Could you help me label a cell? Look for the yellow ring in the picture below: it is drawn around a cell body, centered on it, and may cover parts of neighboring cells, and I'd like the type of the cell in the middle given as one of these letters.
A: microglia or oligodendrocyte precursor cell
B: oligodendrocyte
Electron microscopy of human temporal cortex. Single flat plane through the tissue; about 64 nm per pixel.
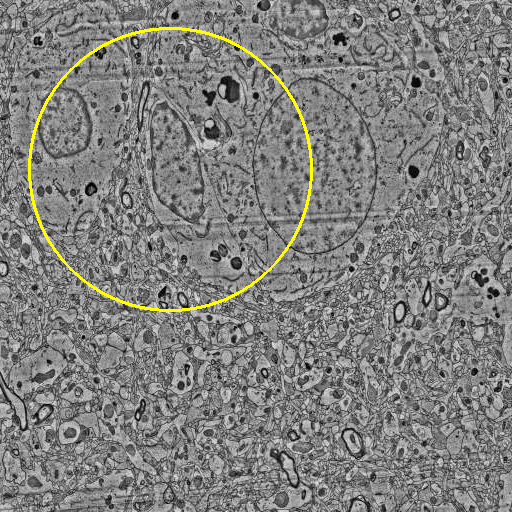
A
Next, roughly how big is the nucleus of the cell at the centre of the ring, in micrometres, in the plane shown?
The nucleus is approximately 8 micrometres long but only about 3 wide, clearly longer than it is wide in this plane.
